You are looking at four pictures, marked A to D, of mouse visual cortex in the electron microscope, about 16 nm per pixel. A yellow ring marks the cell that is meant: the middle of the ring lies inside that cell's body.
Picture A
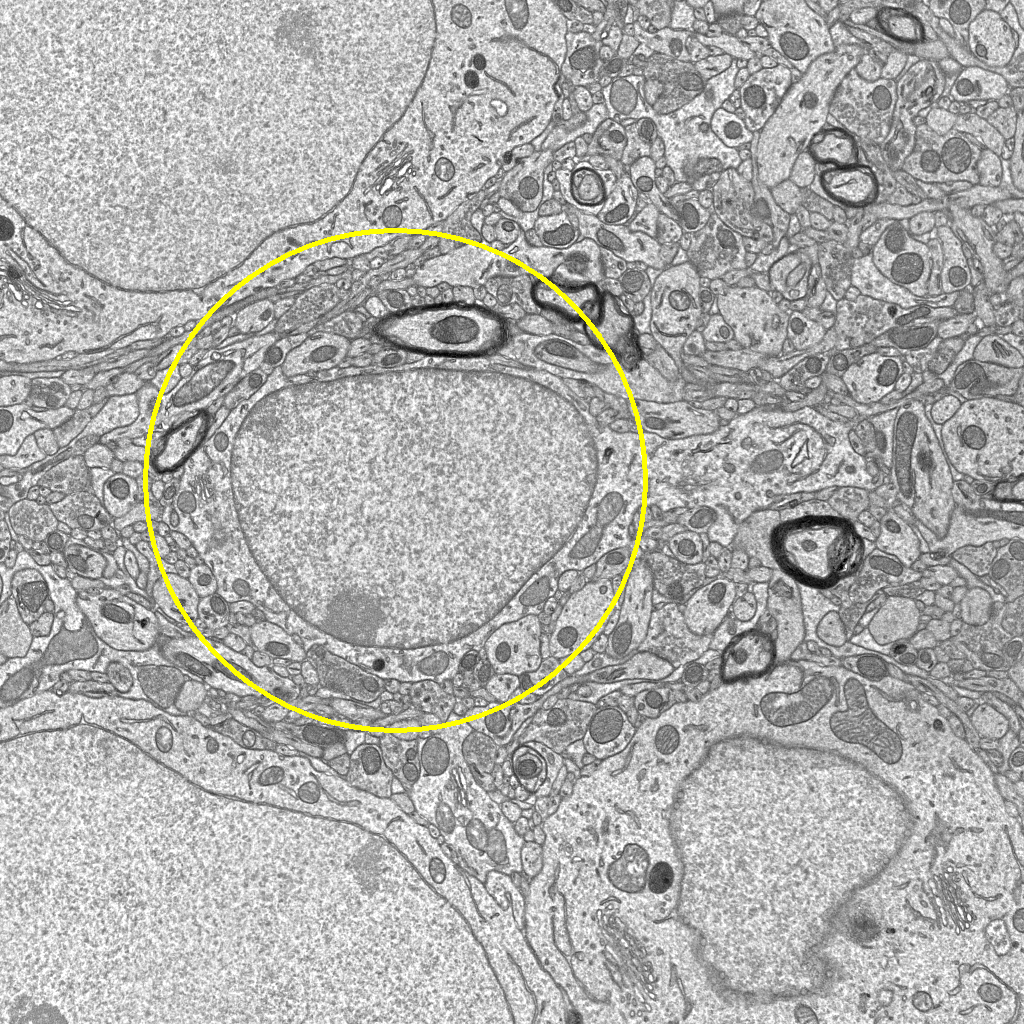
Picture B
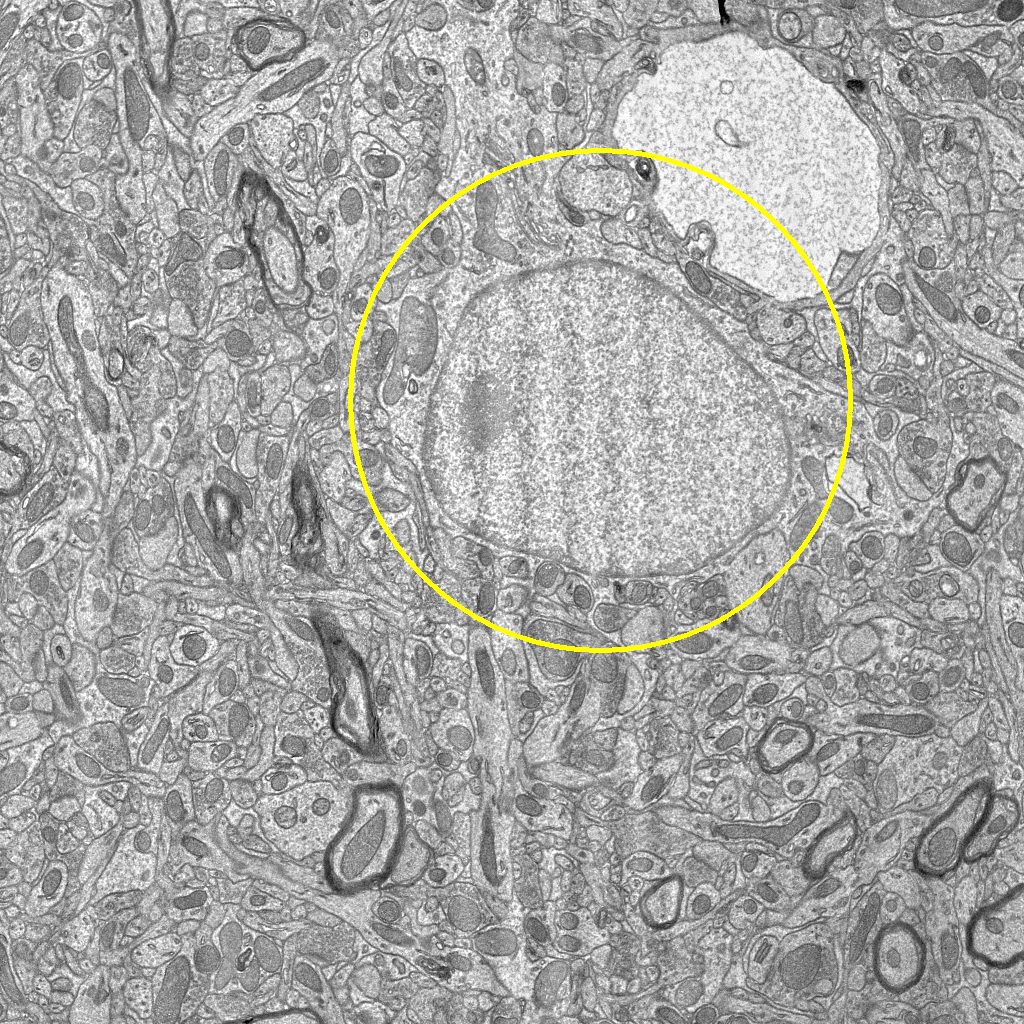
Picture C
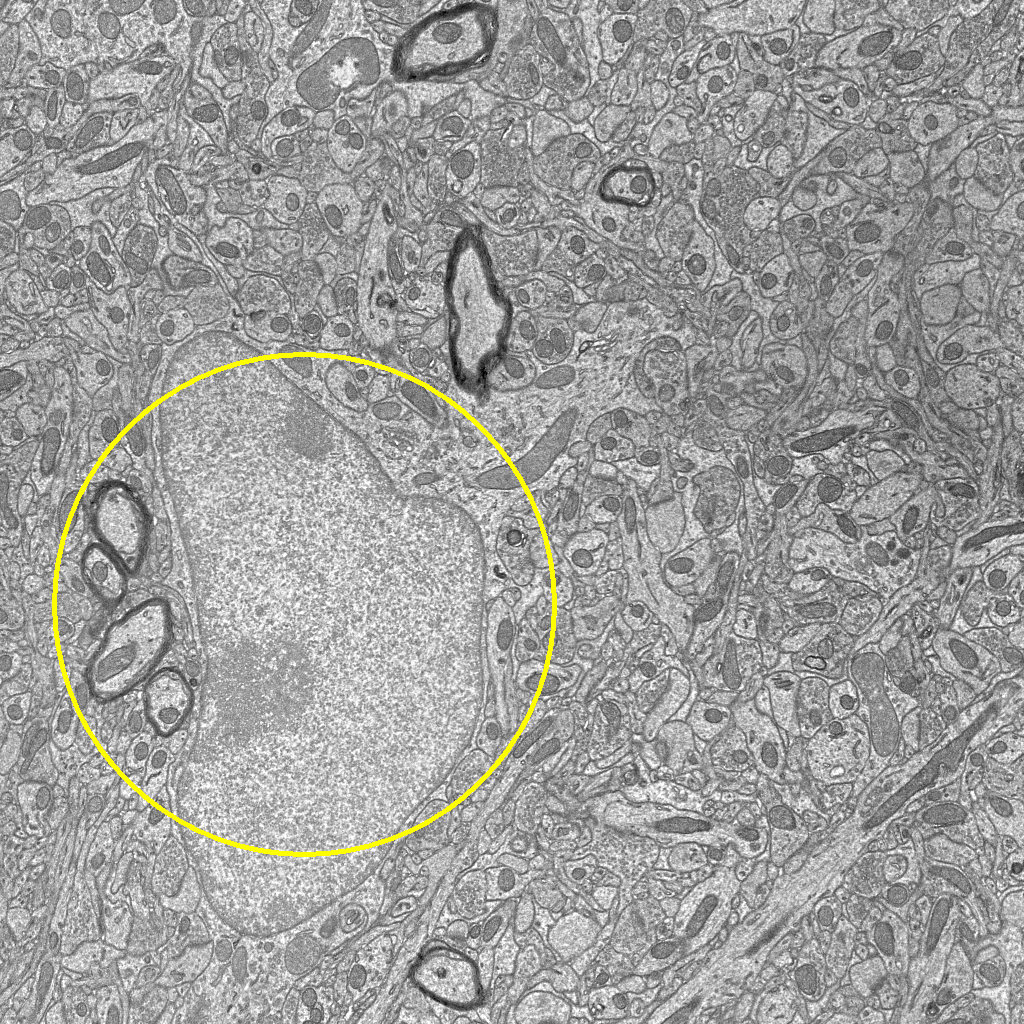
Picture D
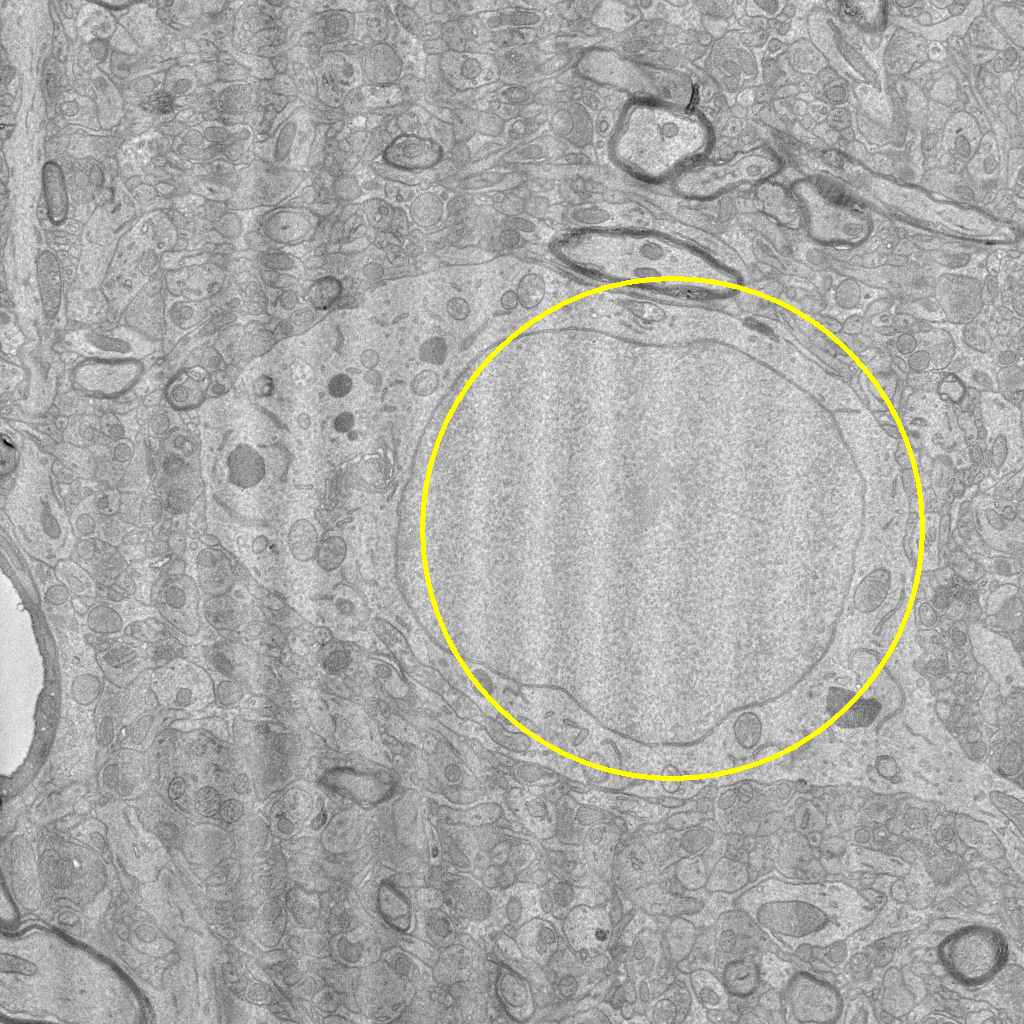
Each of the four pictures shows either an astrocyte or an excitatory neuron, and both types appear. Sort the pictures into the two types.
Pictures A, B and C show astrocytes, while picture D shows an excitatory neuron.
